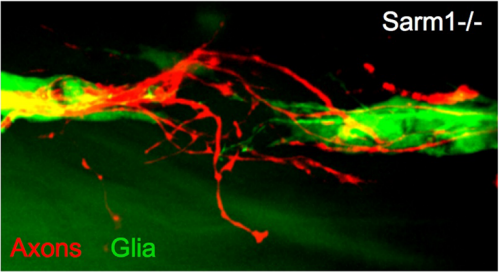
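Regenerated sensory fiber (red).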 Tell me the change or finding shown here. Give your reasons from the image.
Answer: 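In the middle of the bundle the red fibers splay apart and run separately. Several red fibers leave the main bundle and wander away from it. The split region of red fibers is wide compared with the tight bundle at the ends.
Conclusion: local defasciculation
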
